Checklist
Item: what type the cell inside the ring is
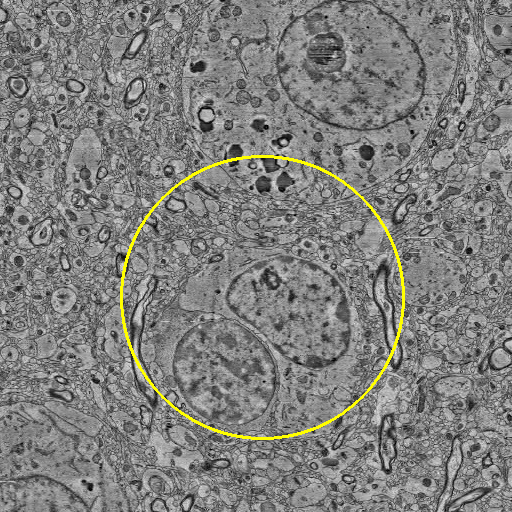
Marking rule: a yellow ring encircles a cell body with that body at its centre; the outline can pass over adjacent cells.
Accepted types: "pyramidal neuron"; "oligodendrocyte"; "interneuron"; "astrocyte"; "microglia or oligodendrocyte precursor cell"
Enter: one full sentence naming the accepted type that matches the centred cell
The entry is that a microglial cell or oligodendrocyte precursor cell lies at the centre of the yellow ring.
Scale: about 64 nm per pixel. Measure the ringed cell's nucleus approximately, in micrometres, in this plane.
The nucleus is approximately 8 micrometers long by 6 micrometers wide in this plane.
